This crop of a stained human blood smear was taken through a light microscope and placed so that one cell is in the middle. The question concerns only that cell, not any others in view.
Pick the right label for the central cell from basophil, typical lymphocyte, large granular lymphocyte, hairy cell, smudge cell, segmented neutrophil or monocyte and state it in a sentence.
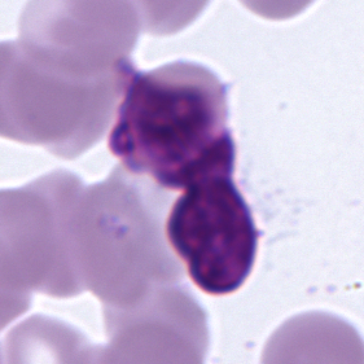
Standing at the centre of this crop is a smudge cell.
